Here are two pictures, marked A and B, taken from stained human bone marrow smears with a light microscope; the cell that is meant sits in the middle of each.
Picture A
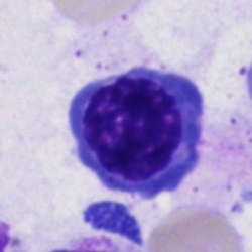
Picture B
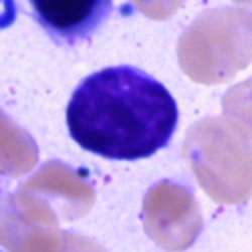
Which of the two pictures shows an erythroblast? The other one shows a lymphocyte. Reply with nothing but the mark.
A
